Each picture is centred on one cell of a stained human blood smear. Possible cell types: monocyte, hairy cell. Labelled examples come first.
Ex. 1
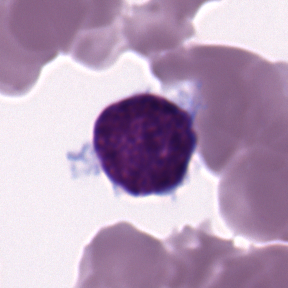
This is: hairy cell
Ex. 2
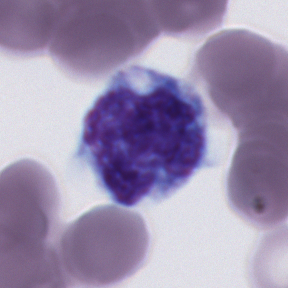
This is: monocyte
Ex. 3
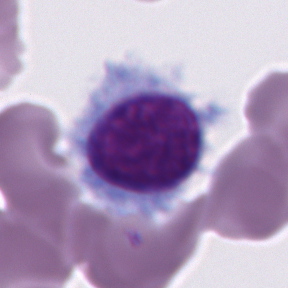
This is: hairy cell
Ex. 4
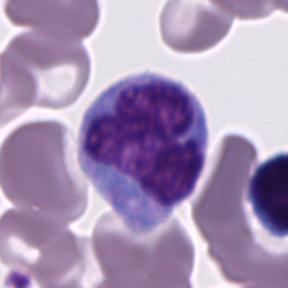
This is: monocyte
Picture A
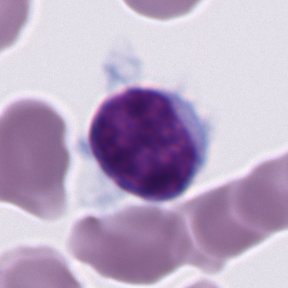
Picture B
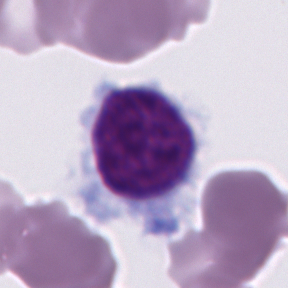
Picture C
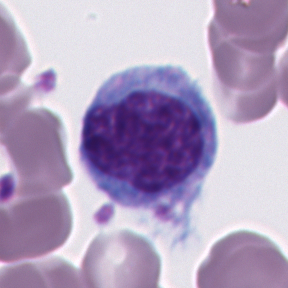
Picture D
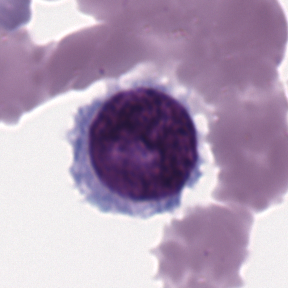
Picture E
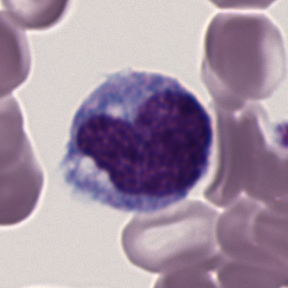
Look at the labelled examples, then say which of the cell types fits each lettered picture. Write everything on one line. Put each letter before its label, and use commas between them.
A hairy cell, B hairy cell, C monocyte, D hairy cell, E monocyte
